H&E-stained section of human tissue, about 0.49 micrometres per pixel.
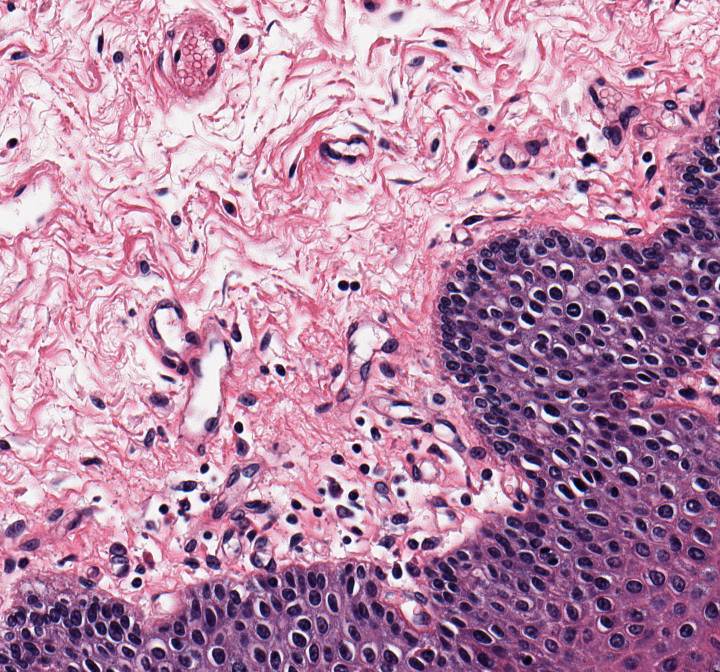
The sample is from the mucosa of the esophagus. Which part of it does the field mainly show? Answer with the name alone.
loose connective tissue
